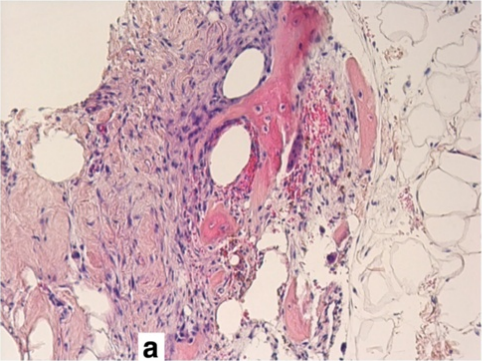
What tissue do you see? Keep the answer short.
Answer: fat tissue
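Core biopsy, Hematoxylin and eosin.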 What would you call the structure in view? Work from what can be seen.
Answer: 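Irregular bands of dense, homogeneous pink matrix run through the middle of the field. Small cells sit in spaces within the pink bands. So: newly formed bone trabeculae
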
